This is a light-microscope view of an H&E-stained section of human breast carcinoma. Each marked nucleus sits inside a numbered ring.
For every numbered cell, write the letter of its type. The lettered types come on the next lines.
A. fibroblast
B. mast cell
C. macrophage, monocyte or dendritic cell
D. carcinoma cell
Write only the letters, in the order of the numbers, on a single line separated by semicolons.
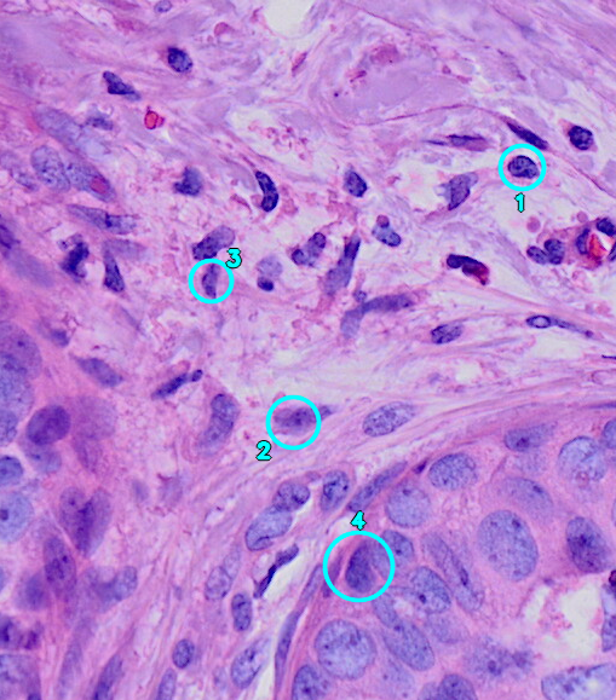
B; A; C; D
